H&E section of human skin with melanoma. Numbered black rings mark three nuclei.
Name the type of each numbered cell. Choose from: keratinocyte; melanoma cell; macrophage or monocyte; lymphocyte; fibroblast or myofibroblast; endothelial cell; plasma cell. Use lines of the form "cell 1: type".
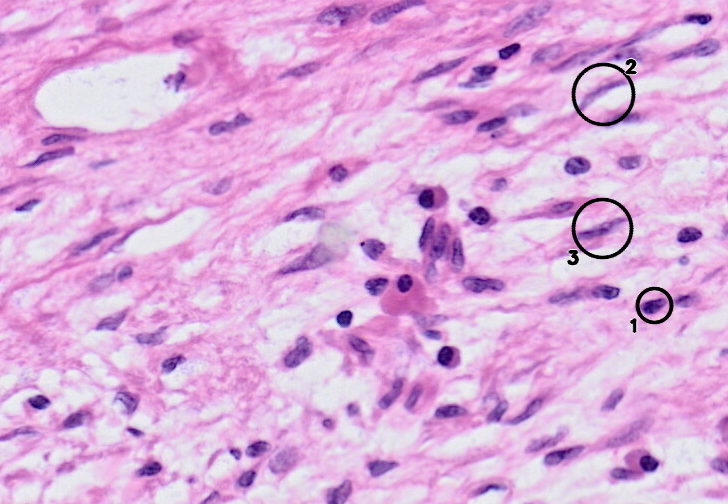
cell 1: lymphocyte
cell 2: fibroblast or myofibroblast
cell 3: fibroblast or myofibroblast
